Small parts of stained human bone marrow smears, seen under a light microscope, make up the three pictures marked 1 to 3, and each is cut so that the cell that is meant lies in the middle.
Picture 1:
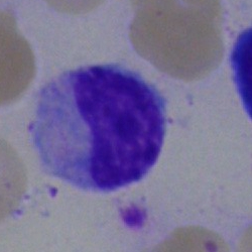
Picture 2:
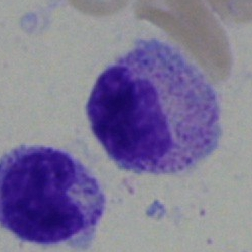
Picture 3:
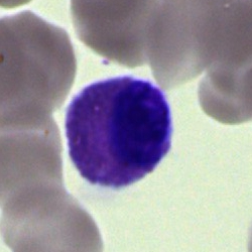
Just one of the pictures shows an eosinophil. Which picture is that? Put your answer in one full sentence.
The picture with the eosinophil is 3.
